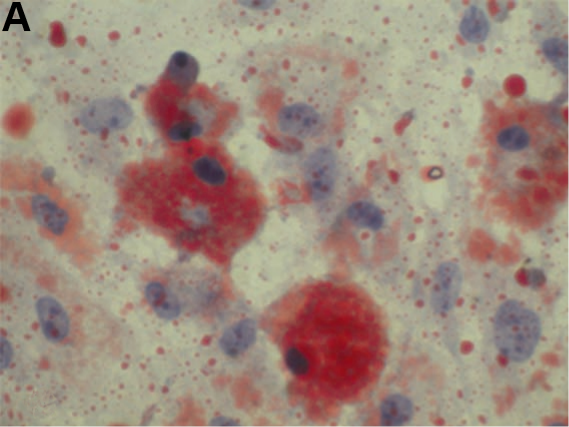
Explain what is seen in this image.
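A few large rounded cells have cytoplasm crowded with red droplets around a single dark nucleus, while the surrounding flat cells have pale cytoplasm and bluish oval nuclei. Small red droplets are also scattered over the background.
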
